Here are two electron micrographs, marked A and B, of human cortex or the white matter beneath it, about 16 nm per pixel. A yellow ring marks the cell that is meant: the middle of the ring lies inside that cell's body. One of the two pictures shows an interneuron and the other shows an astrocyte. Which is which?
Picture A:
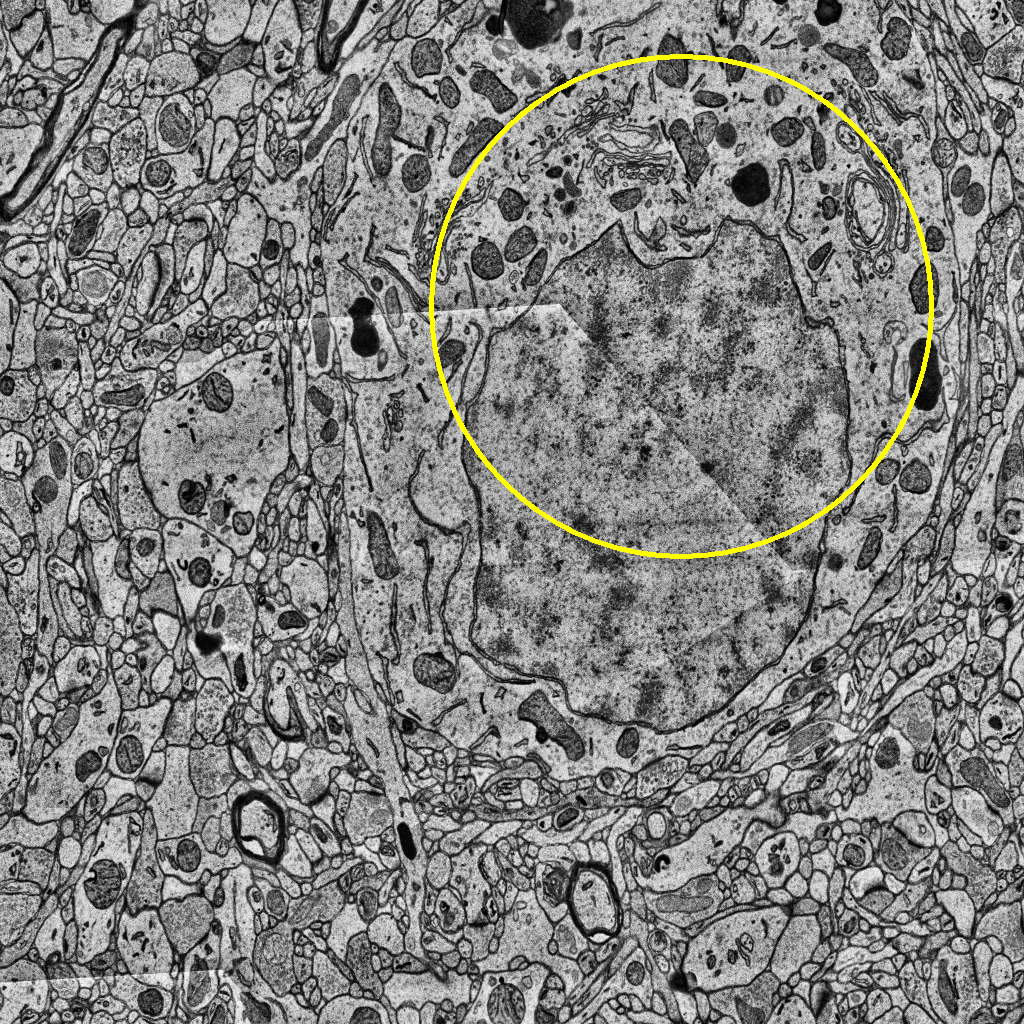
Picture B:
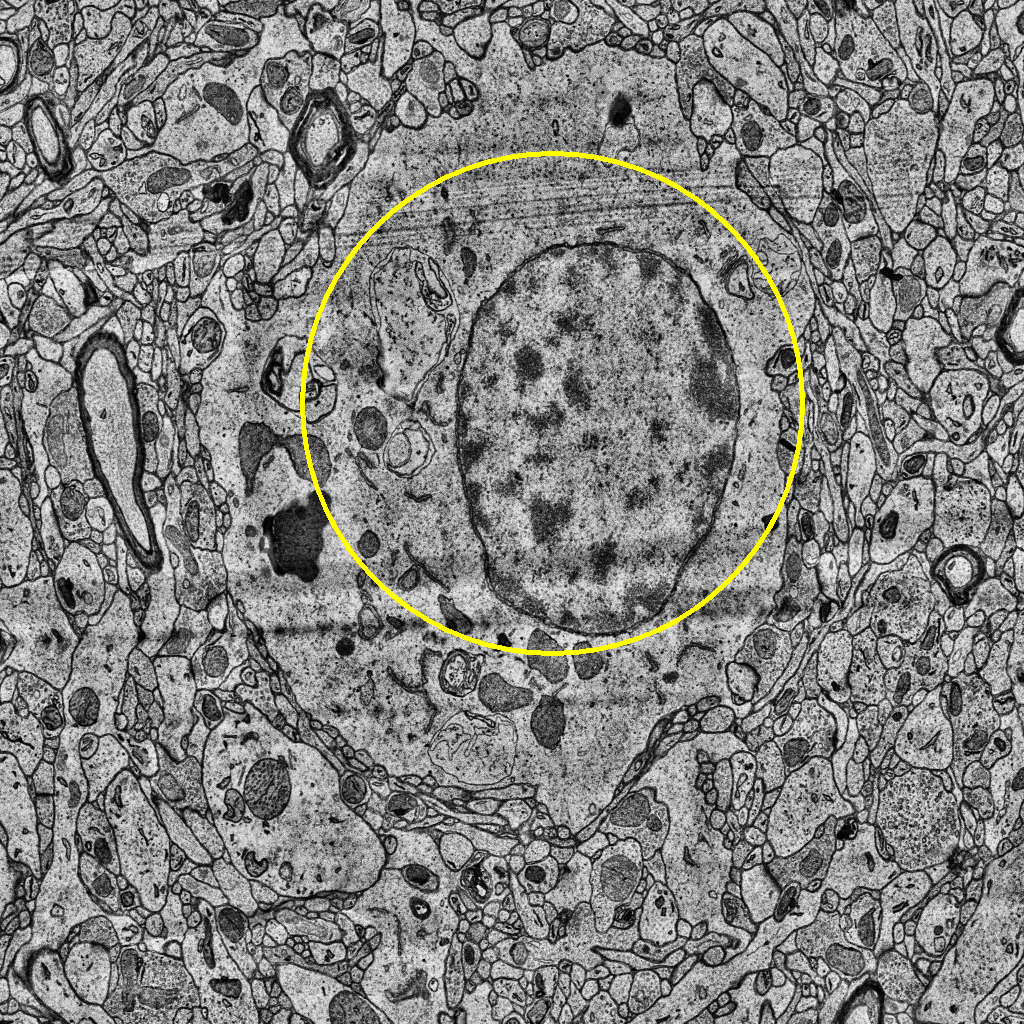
Picture A shows an interneuron and picture B shows an astrocyte.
